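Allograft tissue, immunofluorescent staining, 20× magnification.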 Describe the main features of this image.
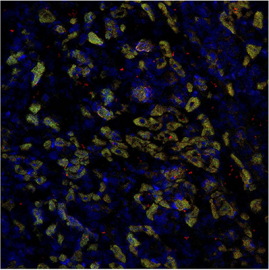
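Many small rounded cells show overlapping red and green label, which appears yellow, around blue nuclei. The labelled cells are crowded together across most of the field, with blue nuclei of unlabelled cells scattered between them.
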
